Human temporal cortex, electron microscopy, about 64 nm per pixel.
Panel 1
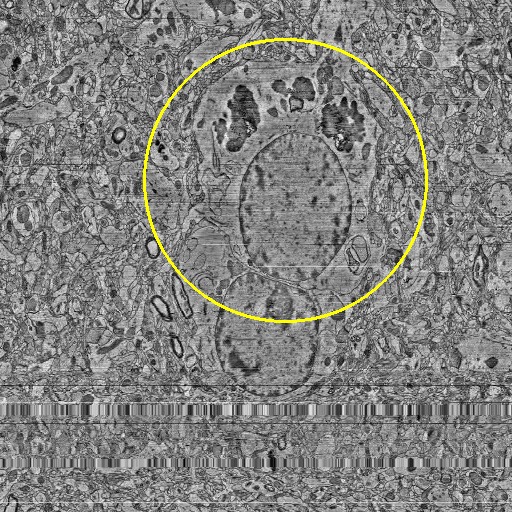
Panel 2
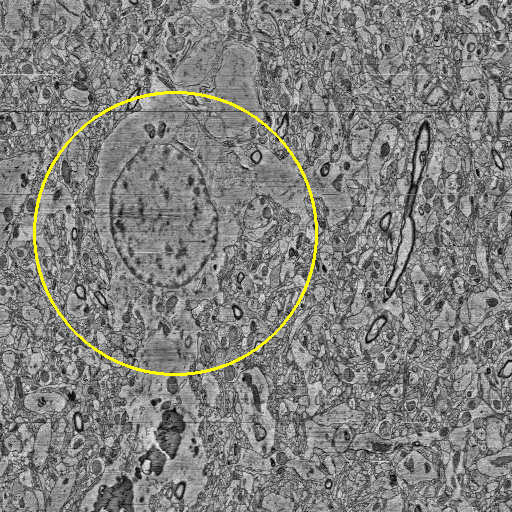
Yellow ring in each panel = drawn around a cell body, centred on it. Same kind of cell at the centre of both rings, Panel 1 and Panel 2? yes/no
yes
